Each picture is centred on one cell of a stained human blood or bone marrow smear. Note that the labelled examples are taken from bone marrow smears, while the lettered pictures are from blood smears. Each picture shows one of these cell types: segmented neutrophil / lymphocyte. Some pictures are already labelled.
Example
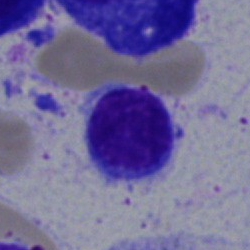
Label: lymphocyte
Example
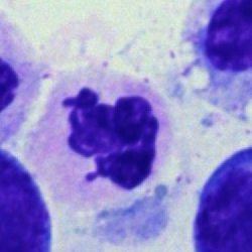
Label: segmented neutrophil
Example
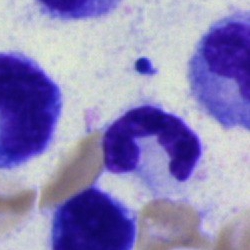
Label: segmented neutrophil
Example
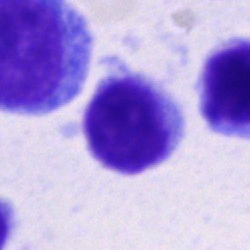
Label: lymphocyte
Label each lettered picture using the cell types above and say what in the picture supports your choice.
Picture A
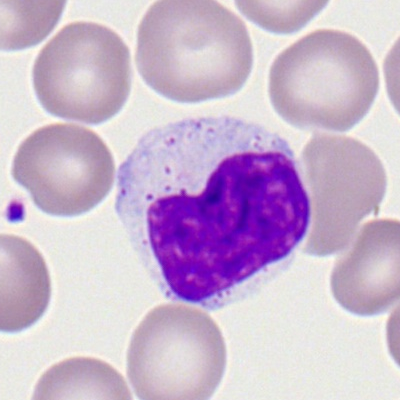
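lymphocyte. Reason: The nucleus has a single notch on its upper side, giving it a bean-like shape.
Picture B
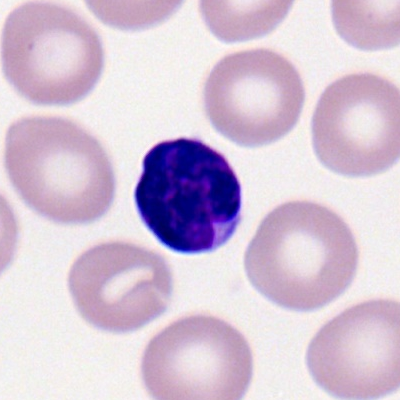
lymphocyte. Reason: The nucleus fills almost the whole cell.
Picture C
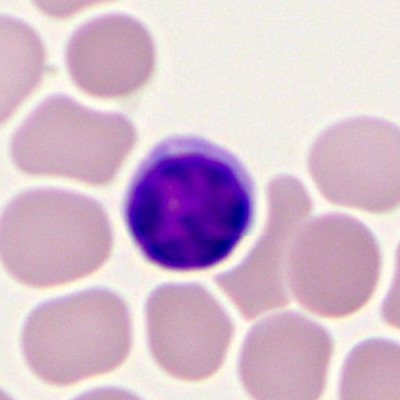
lymphocyte. Reason: The cytoplasm is a scant pale blue rim, widest along the top of the cell.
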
